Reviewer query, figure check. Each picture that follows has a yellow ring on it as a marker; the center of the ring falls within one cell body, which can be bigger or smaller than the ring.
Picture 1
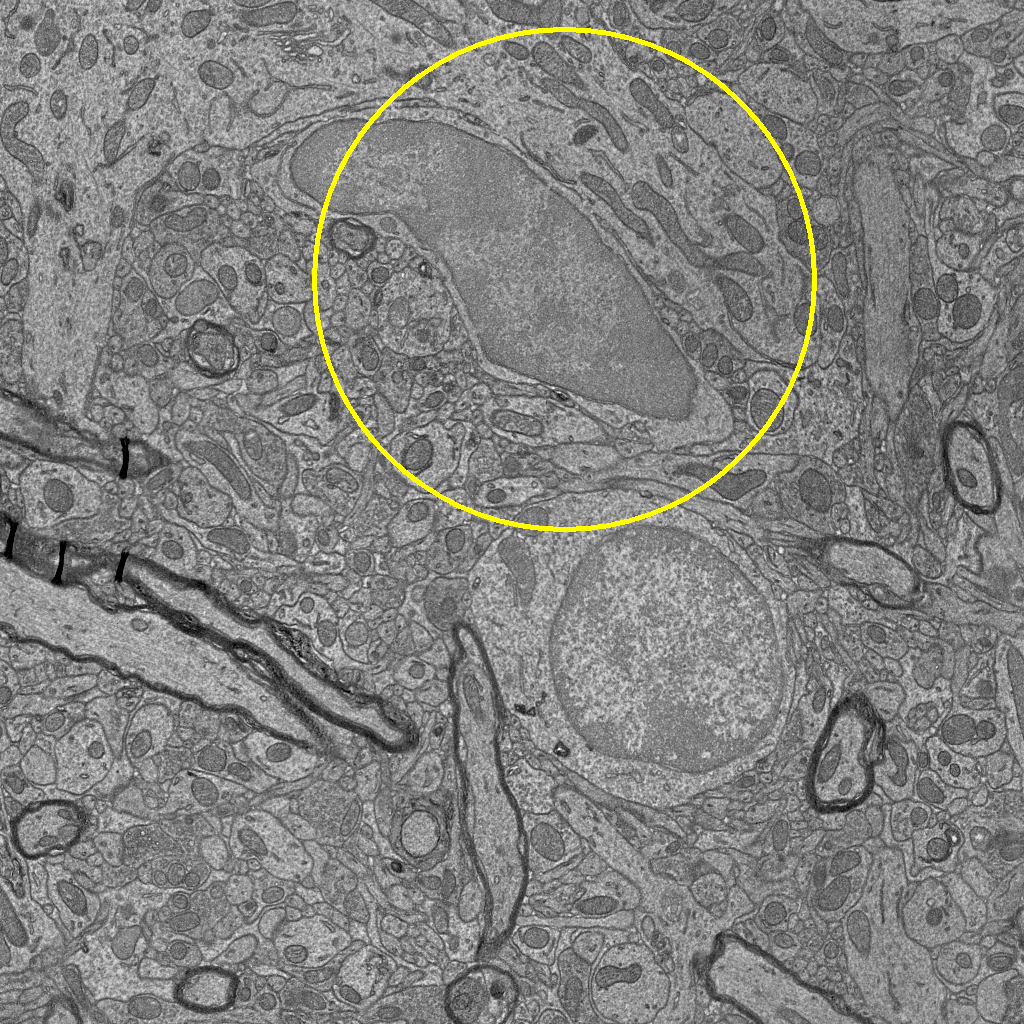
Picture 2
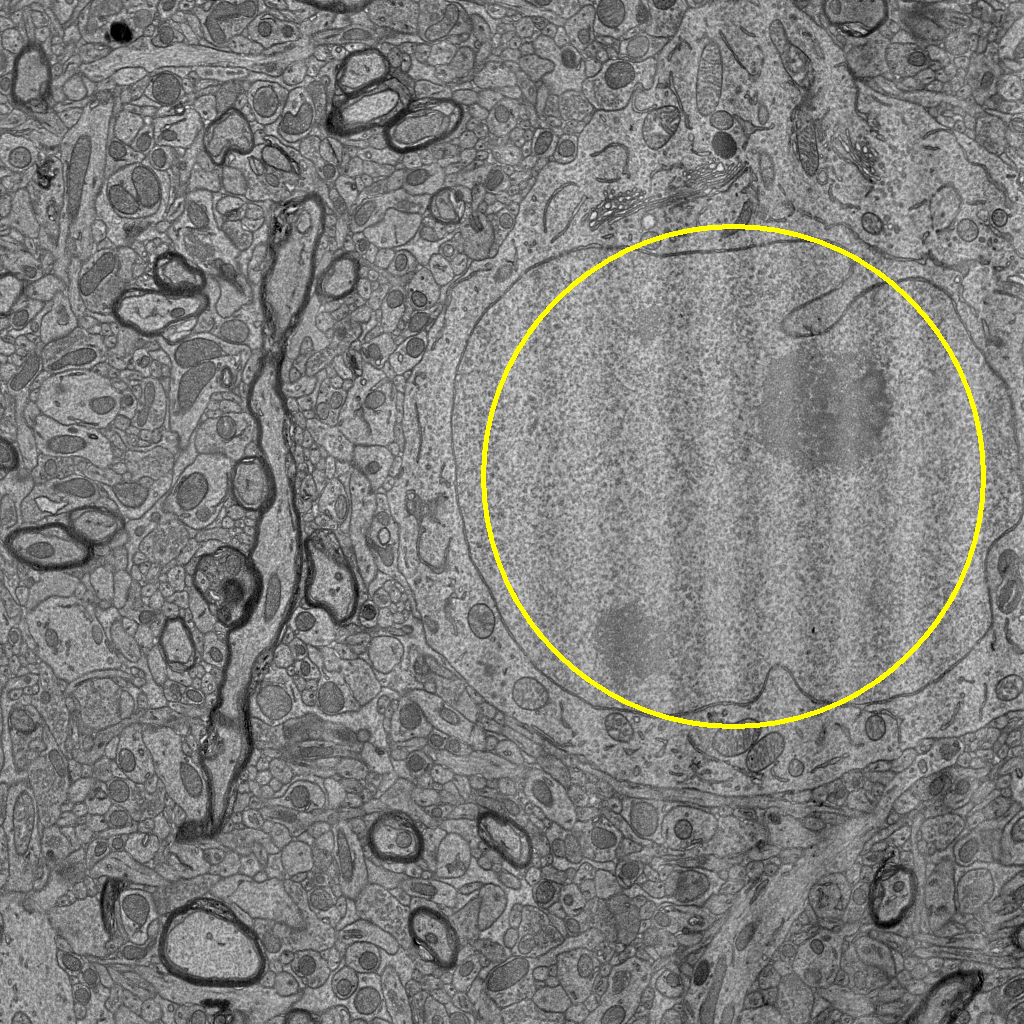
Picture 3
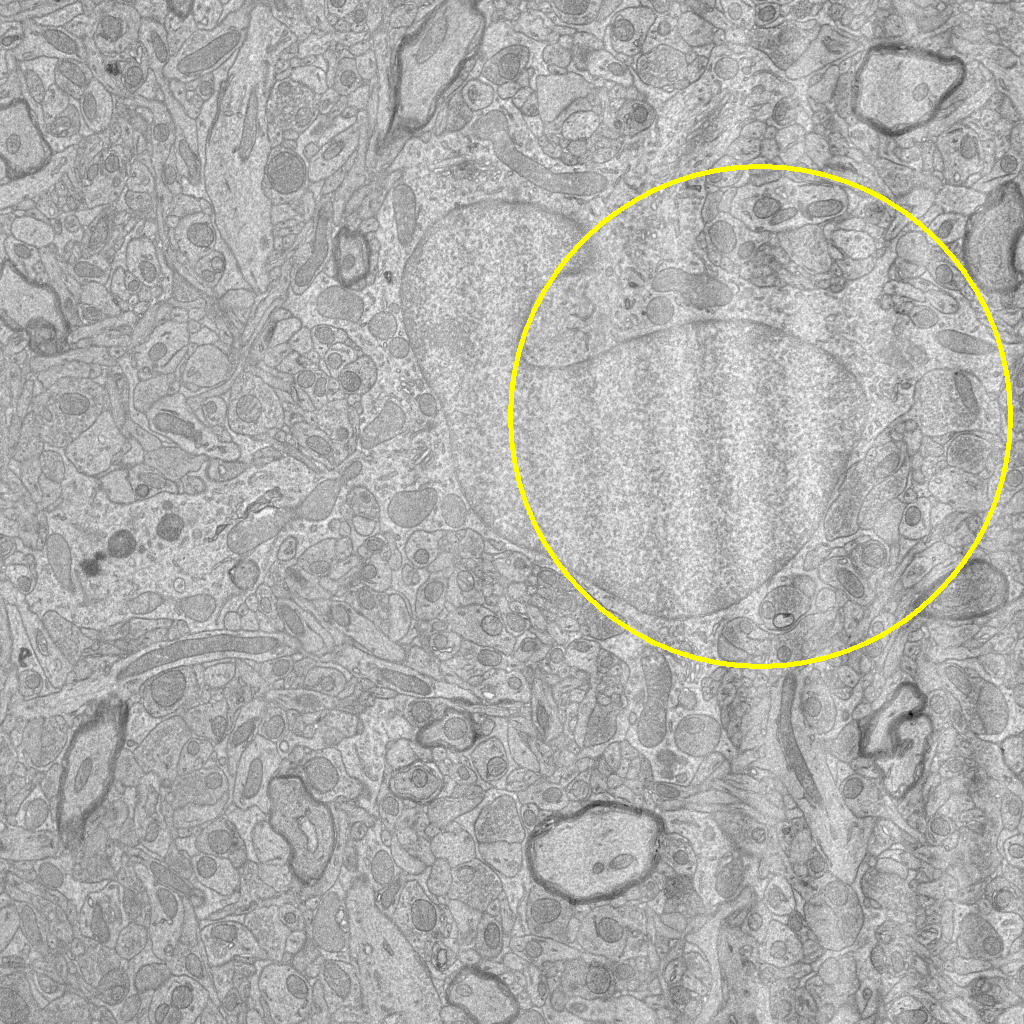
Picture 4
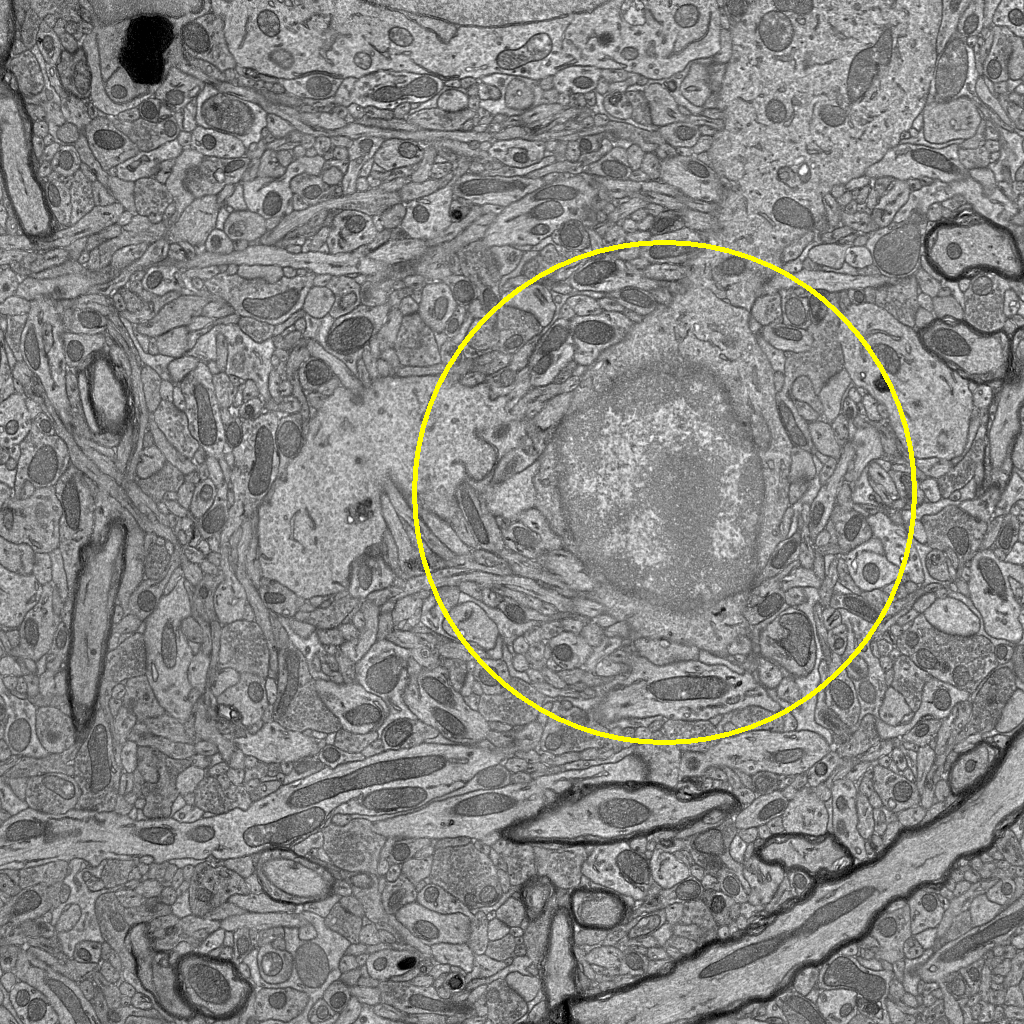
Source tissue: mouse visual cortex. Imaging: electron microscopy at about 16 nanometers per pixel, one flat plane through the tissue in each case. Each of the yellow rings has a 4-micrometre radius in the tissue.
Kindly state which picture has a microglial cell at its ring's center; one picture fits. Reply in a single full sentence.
In picture 1, the cell at the center of the ring is the requested one.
